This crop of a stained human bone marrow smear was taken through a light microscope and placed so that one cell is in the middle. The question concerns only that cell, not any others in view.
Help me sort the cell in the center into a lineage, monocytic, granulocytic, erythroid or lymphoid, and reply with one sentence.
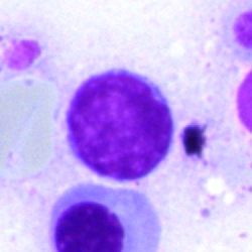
Counted among cells of the lymphoid lineage is the central cell.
